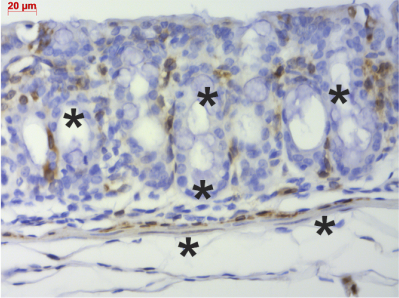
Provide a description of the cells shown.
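This colon mucosa shows crypts that are less orderly, some with dilated lumens, lined by columnar and goblet cells with blue nuclei. Scattered brown-stained cells lie in the lamina propria between the crypts and in a band along the base of the mucosa, near the asterisks.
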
